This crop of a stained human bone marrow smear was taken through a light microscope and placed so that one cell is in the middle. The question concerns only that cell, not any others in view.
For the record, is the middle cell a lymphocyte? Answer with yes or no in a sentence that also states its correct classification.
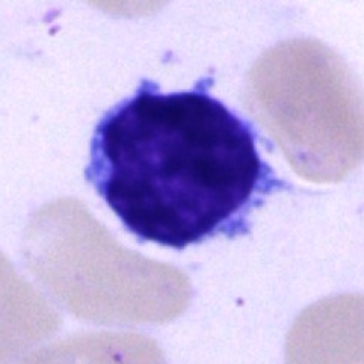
Yes, the cell in the middle of the crop is a lymphocyte.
